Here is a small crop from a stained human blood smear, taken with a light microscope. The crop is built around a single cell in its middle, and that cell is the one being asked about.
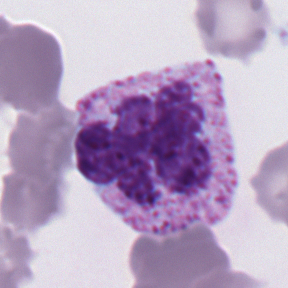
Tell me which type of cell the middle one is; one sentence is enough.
The cell in the exact centre of the crop is a basophil.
